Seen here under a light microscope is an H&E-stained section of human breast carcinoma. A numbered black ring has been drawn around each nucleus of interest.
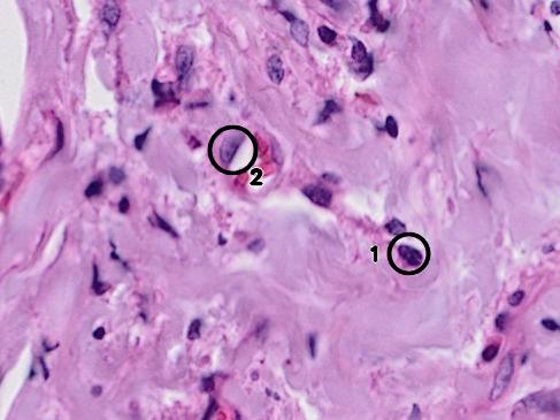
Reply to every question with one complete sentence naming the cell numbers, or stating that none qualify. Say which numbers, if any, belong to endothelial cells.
No marked cell except number 2 is an endothelial cell.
